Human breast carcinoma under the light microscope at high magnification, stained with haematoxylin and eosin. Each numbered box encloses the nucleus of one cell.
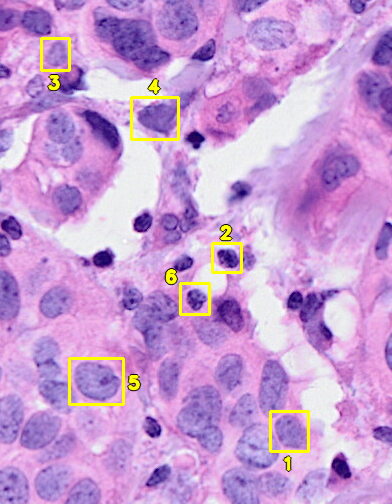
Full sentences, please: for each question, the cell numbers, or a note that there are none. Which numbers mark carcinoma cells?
The cells carrying labels 1, 3, 4 and 5 are carcinoma cells.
